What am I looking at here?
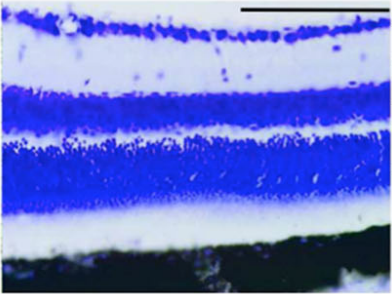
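A section of retina shows its layers as parallel bands: a single thin row of nuclei at the inner surface, a broad pale band, a dense band of blue nuclei, a narrow pale band, and then the thickest band of closely packed small dark nuclei. Beneath that lies a pale, finely striated band and, at the bottom, a black pigmented layer.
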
